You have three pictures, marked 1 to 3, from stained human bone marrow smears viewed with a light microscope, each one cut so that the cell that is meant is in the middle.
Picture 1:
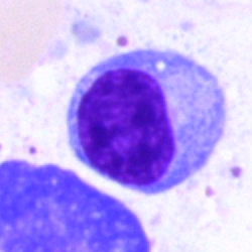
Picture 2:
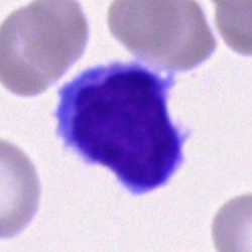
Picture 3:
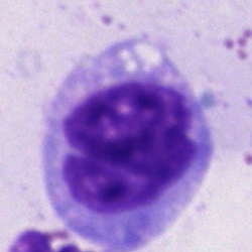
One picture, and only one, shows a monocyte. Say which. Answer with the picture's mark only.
3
